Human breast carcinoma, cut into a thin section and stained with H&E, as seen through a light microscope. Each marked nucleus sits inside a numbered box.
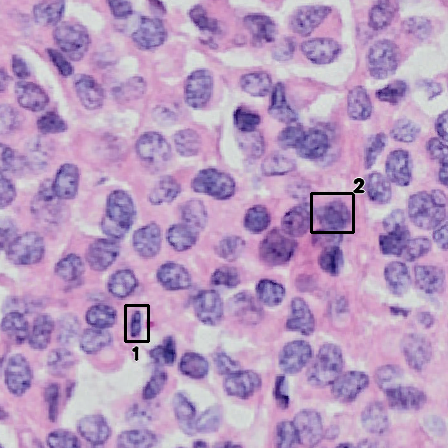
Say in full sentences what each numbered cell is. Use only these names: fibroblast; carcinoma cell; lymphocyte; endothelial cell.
Cell 1 is an endothelial cell and cell 2 is a carcinoma cell.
